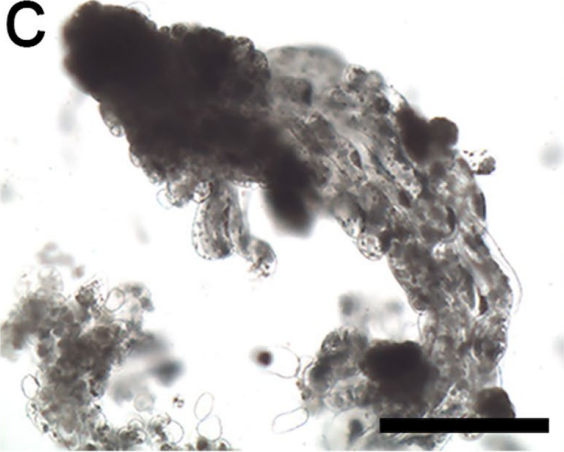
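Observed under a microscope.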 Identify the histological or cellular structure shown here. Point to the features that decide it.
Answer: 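Dense dark clusters of small cells joined to loose strands of elongated translucent cells. The masses are irregular and not organized into a compact tissue.
Embryogenic suspensor mass structures.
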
